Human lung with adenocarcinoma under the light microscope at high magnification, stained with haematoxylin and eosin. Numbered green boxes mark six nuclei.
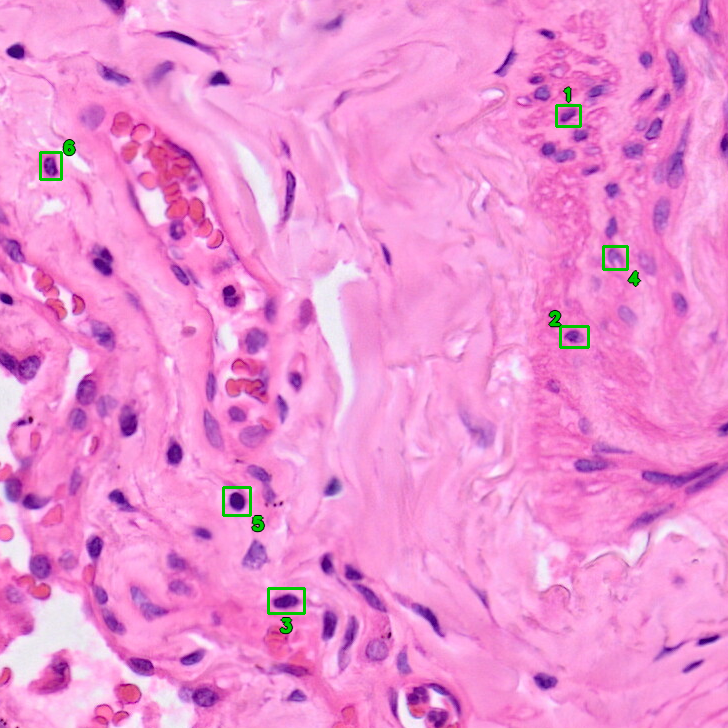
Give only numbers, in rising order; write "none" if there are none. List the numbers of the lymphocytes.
3, 5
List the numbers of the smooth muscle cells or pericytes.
1, 2, 4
